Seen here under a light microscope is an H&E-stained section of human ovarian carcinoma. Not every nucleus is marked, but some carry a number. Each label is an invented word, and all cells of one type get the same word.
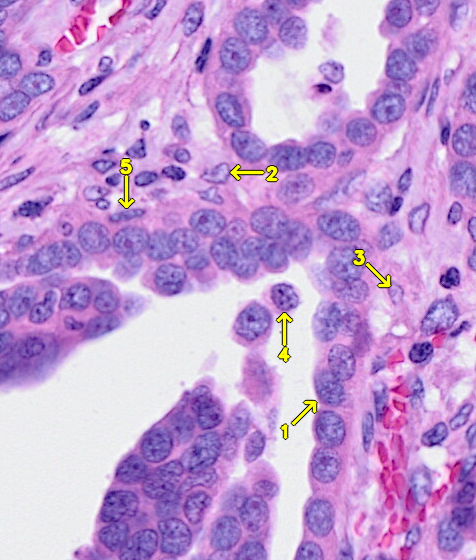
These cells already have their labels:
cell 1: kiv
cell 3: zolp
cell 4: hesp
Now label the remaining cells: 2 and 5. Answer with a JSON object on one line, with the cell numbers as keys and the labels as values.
{"2": "zolp", "5": "zolp"}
